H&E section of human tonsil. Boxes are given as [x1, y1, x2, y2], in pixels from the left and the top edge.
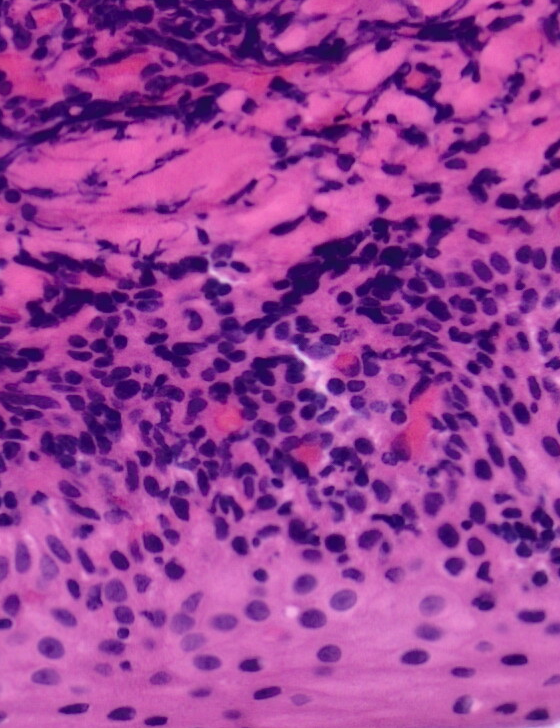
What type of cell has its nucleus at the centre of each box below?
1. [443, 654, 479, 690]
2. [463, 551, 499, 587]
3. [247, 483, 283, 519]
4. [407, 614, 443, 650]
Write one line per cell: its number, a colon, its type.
1: squamous epithelial cell
2: squamous epithelial cell
3: plasma cell
4: squamous epithelial cell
